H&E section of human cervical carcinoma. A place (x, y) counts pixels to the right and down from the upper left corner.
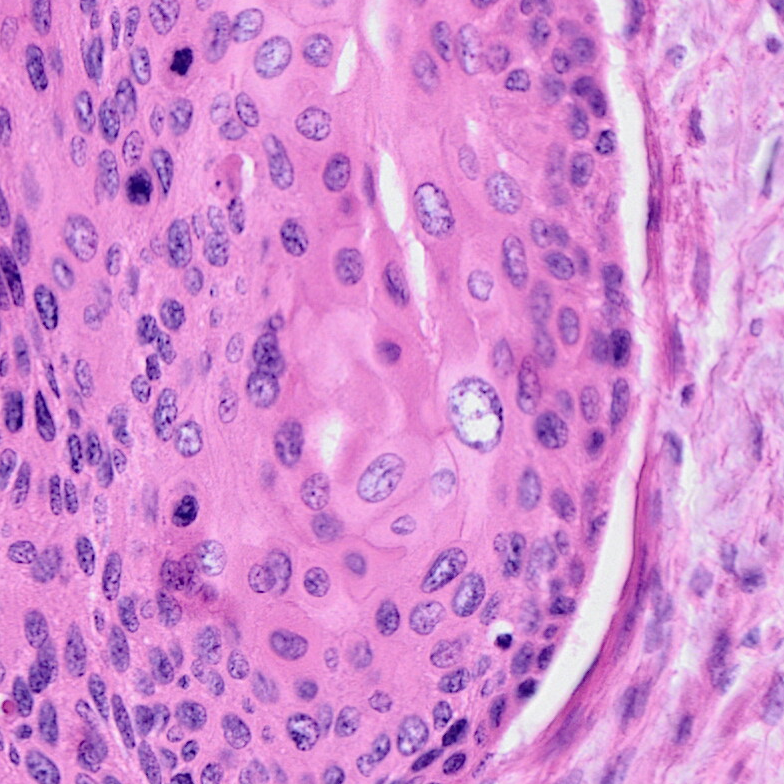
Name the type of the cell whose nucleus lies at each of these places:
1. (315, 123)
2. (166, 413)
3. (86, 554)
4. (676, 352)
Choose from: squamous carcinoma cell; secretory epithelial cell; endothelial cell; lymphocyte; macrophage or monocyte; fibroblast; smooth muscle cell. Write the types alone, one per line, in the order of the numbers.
squamous carcinoma cell
squamous carcinoma cell
squamous carcinoma cell
fibroblast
